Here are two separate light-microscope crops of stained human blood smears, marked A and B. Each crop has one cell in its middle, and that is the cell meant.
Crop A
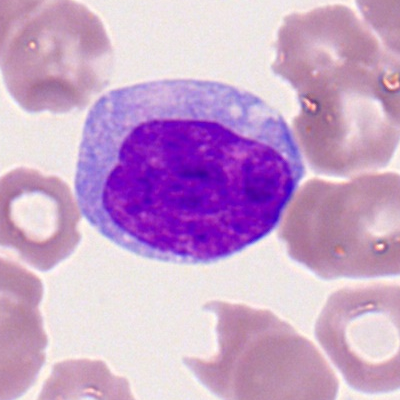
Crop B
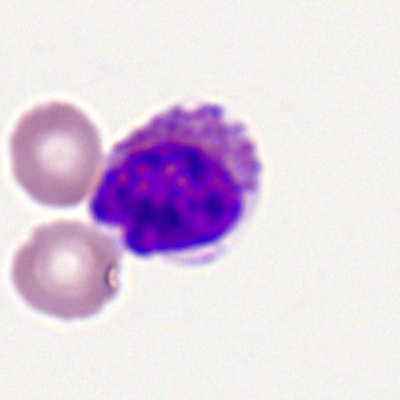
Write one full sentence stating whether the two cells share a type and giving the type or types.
No, in this case crop A shows a monocyte, and crop B shows an eosinophil.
